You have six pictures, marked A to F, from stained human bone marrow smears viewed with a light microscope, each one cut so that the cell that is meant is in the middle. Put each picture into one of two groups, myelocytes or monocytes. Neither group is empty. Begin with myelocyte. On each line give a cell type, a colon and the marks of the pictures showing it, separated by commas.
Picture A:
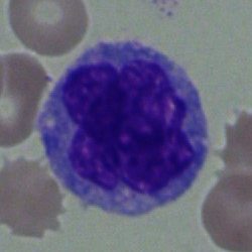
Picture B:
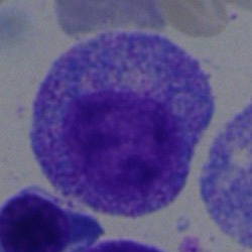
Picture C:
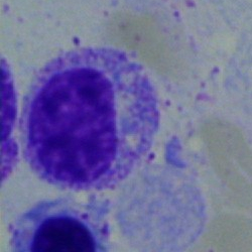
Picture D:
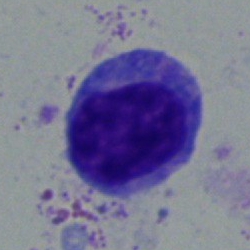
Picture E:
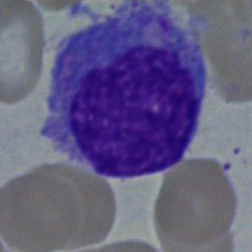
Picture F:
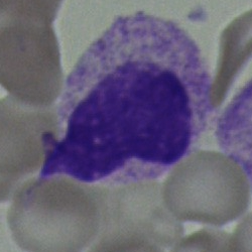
myelocyte: B, C, F
monocyte: A, D, E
